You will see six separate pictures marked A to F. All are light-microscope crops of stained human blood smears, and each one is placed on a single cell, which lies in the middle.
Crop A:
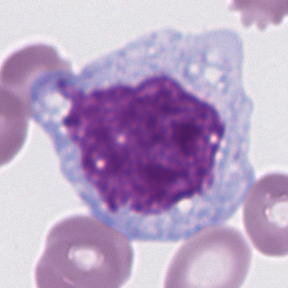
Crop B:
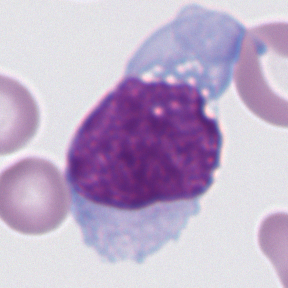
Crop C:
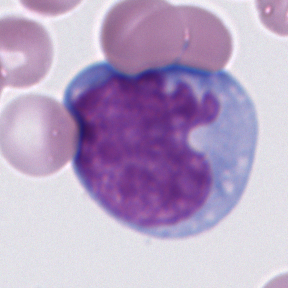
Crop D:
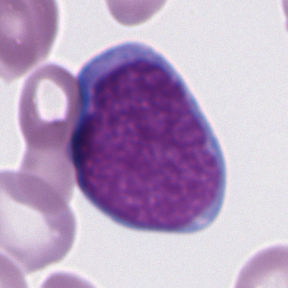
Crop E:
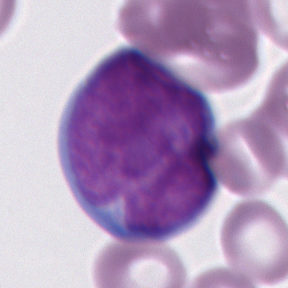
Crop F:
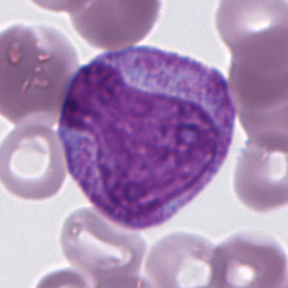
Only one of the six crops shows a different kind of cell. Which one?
F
